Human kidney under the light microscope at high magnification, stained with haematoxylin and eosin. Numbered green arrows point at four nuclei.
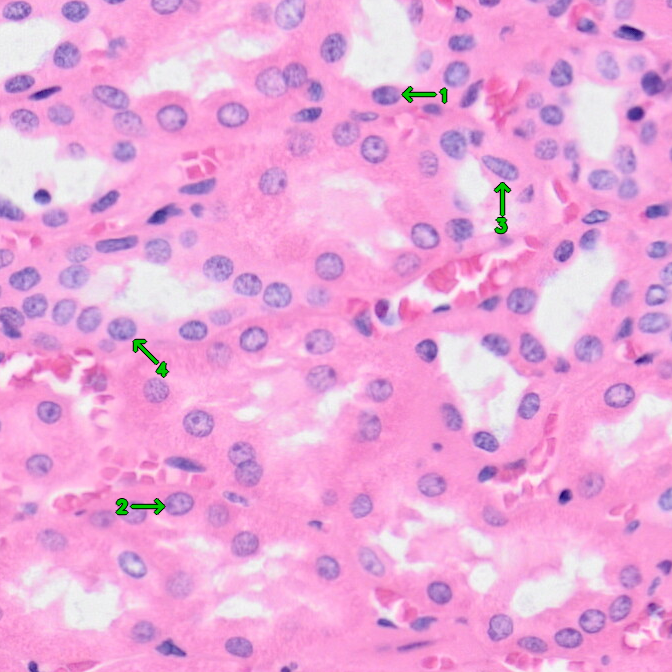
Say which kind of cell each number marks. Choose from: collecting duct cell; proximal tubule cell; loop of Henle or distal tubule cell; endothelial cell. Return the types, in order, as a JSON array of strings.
["loop of Henle or distal tubule cell", "proximal tubule cell", "collecting duct cell", "collecting duct cell"]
